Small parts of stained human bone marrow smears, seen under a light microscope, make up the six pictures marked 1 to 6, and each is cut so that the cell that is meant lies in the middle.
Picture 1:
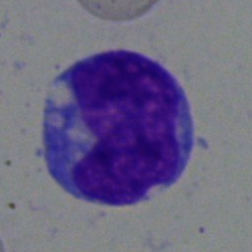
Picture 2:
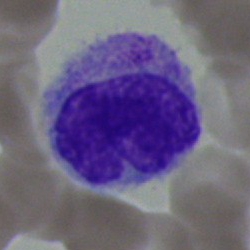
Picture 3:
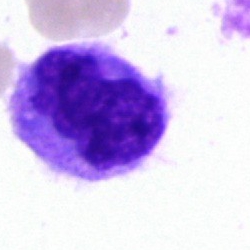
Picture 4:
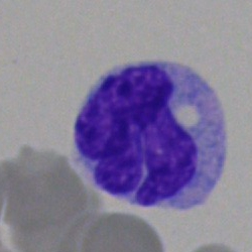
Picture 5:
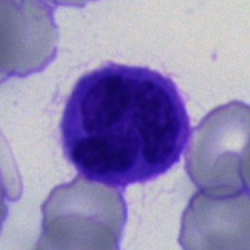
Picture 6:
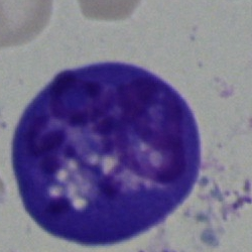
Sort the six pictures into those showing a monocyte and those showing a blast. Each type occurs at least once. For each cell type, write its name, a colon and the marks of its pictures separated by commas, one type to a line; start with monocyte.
monocyte: 2, 3, 4, 5
blast: 1, 6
